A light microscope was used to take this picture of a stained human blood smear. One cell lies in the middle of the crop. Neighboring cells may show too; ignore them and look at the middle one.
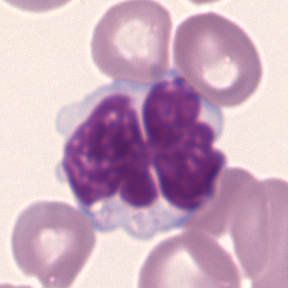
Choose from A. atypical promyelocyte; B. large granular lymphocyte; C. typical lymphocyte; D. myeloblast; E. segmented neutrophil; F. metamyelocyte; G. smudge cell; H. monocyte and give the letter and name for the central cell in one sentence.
The cell in the middle is correctly identified as a large granular lymphocyte in option B.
